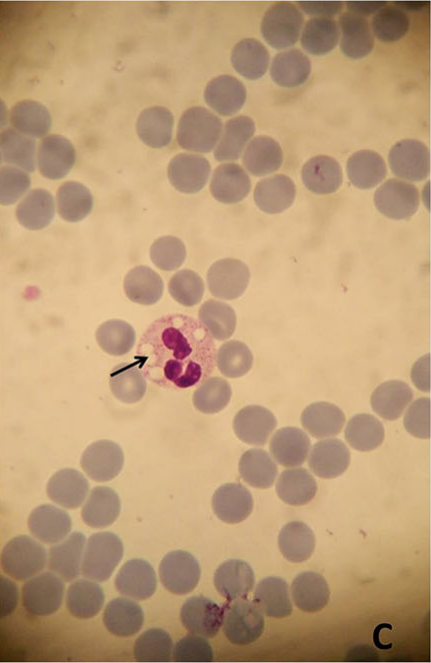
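This is a peripheral blood smear showing many red blood cells around a single neutrophil. The red blood cells are round, pale grey-pink discs without nuclei, lying singly or touching in short clusters and chains. Near the centre lies one larger white cell whose nucleus is split into several dark purple lobes joined together. Its cytoplasm is pale pink and contains several small, round, clear vacuoles spread around the nucleus.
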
